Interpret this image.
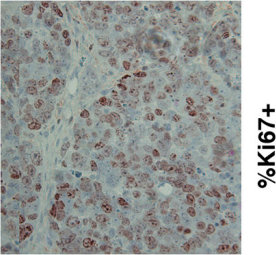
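This section shows solid tumor tissue, with sheets of tumor cells crossed by bands of connective tissue. The tumor cells have large round to oval nuclei, some stained brown and many only pale blue. The stromal bands hold thin, spindle-shaped cells with elongated nuclei. These bands separate the tumor cells into nests.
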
